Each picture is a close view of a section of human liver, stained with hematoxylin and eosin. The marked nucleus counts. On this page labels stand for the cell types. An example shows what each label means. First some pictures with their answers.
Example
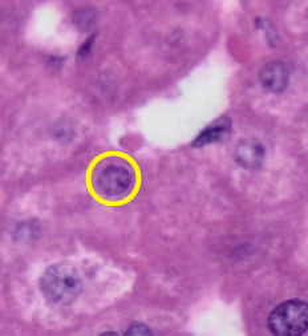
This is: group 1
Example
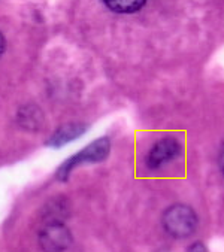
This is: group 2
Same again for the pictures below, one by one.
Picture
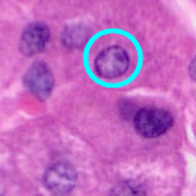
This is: group 1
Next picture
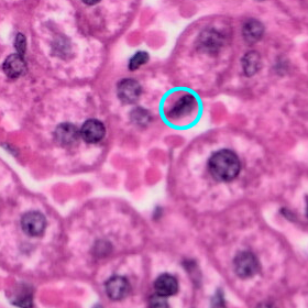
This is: group 2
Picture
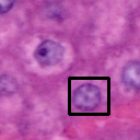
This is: group 1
